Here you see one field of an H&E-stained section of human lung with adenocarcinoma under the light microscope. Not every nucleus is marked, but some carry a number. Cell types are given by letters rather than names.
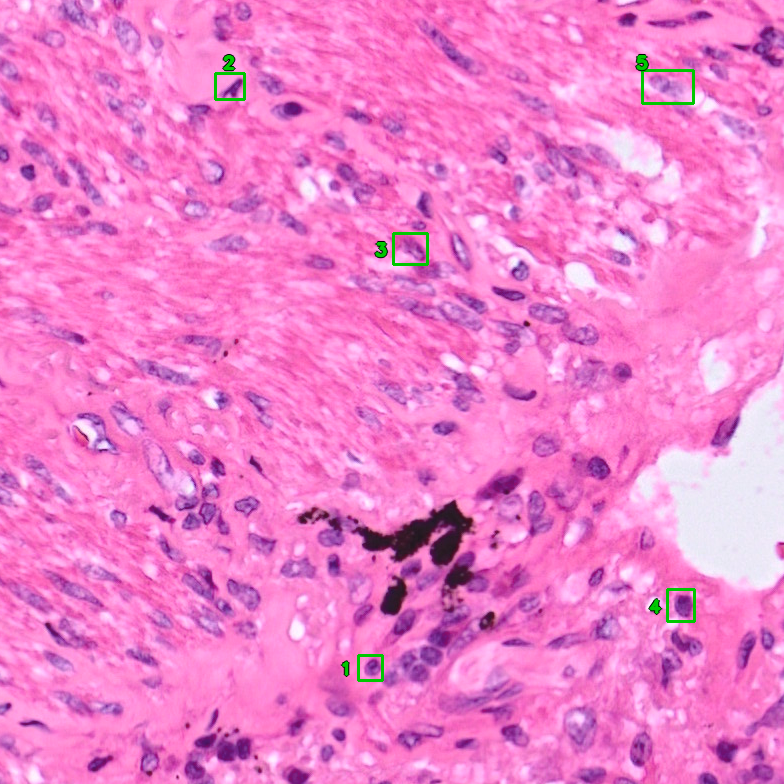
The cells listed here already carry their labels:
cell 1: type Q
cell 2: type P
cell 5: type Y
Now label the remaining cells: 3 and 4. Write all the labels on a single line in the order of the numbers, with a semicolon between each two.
type Y; type Q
